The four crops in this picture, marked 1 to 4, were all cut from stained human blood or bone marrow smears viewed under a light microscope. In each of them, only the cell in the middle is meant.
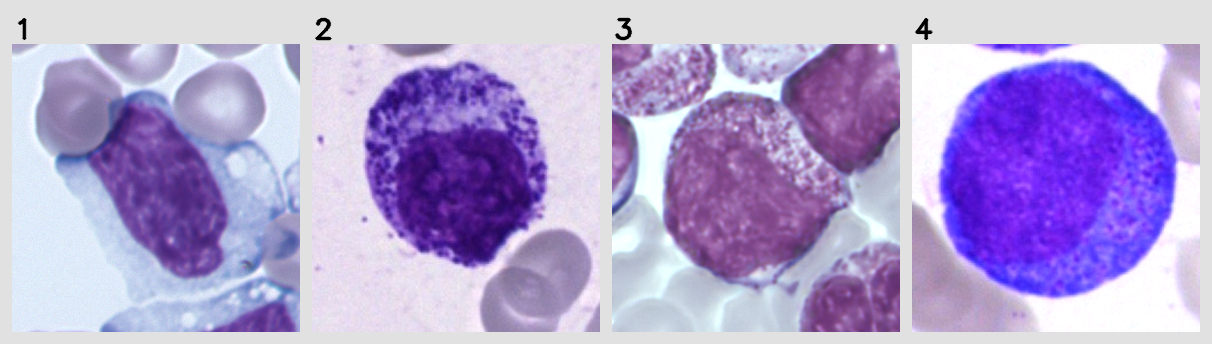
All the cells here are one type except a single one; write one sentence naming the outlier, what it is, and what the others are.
Found in all crops but one are promyelocytes; the exception, crop 1, contains a blast.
